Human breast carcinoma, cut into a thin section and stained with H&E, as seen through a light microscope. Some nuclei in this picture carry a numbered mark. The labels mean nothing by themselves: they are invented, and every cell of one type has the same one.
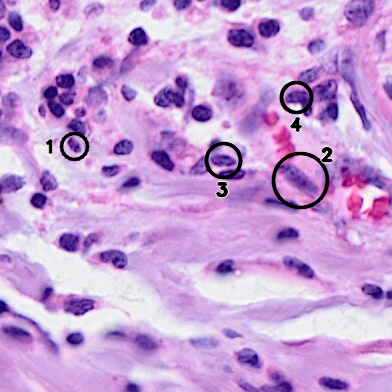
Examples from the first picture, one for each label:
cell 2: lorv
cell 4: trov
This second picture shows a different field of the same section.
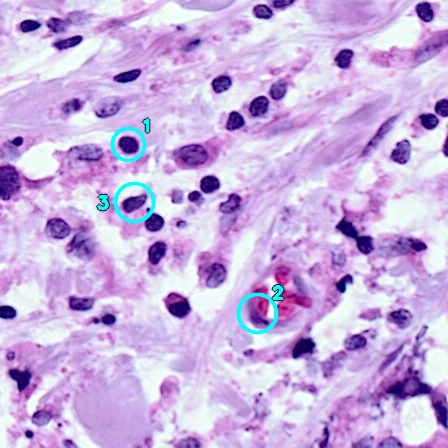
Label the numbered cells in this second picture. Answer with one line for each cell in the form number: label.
1: trov
2: lorv
3: trov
